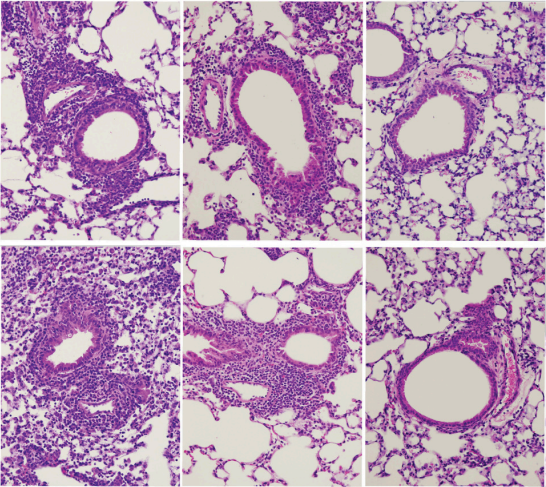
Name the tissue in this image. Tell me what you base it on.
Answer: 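Thin-walled alveolar spaces fill the background. Round airways lined by an epithelium cross the sections. Small vessels lie beside the airways. The answer: lungs.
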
